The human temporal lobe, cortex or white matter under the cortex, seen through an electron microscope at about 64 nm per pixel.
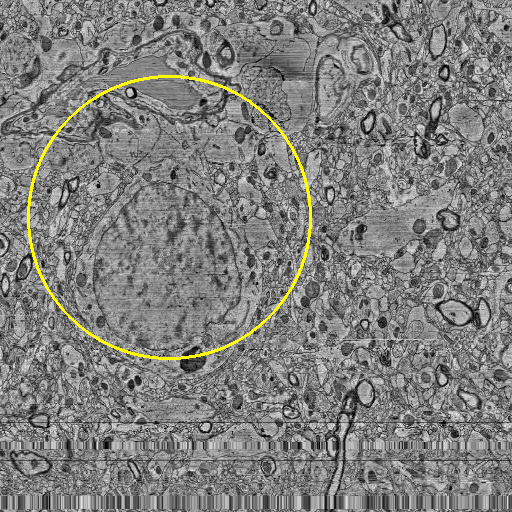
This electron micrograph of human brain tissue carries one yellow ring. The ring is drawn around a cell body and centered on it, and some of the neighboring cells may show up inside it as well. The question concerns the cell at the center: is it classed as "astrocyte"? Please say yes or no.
No, it is classed as another kind.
